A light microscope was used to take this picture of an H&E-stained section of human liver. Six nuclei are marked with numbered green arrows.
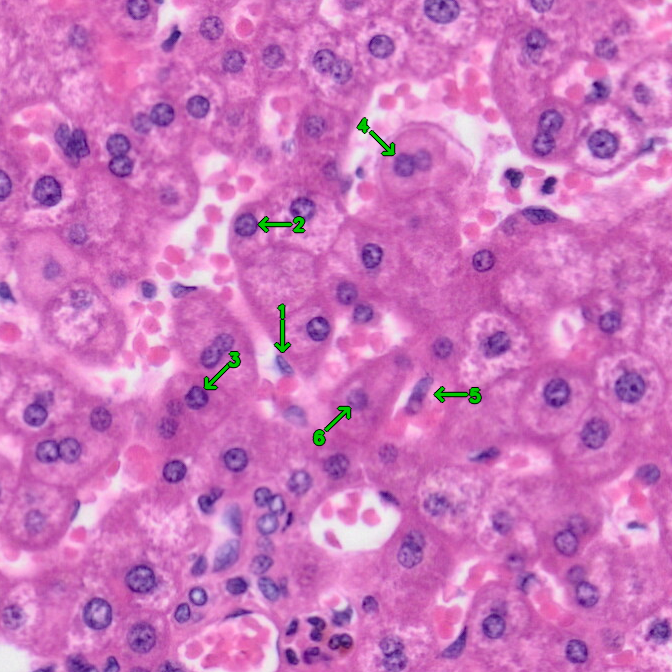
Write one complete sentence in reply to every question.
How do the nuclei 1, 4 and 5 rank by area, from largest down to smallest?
Going from the biggest nucleus down to the smallest gives 5, 4, 1.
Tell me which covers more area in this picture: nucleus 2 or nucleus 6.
At about 1.5 times the area of nucleus 6, nucleus 2 is the larger of the two.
